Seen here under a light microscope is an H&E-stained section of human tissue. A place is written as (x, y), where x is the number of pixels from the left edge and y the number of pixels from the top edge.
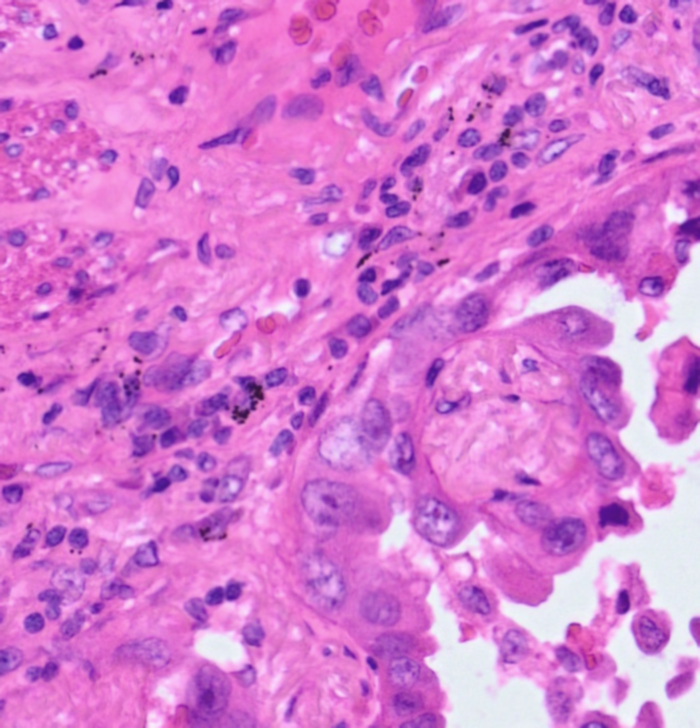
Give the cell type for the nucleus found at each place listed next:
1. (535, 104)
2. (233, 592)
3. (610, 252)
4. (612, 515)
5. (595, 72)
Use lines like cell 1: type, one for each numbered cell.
cell 1: lymphocyte
cell 2: lymphocyte
cell 3: carcinoma cell
cell 4: carcinoma cell
cell 5: lymphocyte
